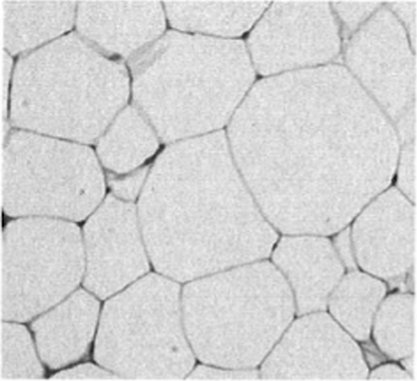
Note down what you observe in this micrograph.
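This is adipose tissue made up of tightly packed adipocytes. The cells differ considerably in size, with some much larger than their neighbours. Small angular gaps where several cells meet hold slightly denser strands of stroma.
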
